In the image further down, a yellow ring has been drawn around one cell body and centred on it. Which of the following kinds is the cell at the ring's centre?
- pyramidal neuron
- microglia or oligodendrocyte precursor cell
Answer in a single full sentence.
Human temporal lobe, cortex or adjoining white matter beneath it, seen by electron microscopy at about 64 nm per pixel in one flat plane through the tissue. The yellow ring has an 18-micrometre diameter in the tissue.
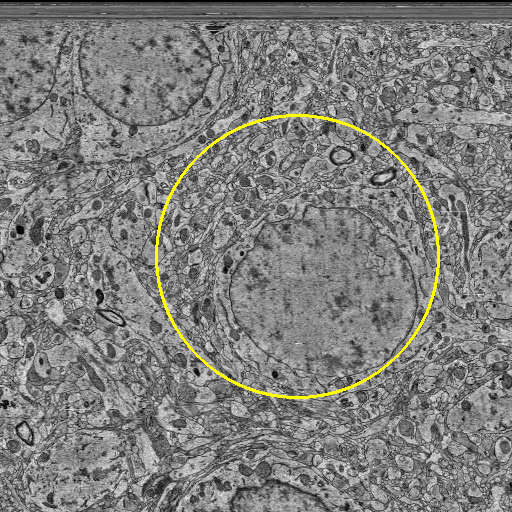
In the picture, the cell sitting at the centre of the yellow ring is a pyramidal neuron.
